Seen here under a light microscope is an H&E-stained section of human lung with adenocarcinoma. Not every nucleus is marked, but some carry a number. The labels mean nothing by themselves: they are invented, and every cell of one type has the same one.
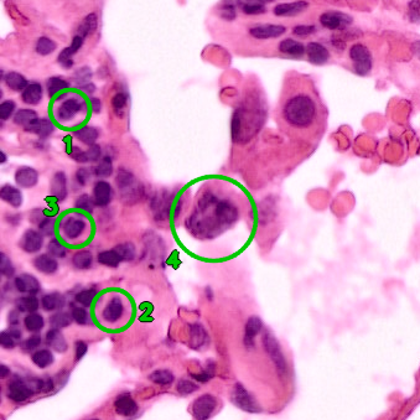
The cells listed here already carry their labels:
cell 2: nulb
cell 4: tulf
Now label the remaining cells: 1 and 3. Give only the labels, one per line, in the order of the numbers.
nulb
nulb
